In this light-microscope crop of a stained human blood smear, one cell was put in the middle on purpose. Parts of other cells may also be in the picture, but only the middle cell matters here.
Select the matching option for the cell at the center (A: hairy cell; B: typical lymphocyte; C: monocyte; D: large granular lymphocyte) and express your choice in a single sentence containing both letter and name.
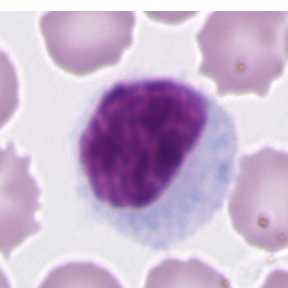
Option A is correct, naming the cell in the middle as a hairy cell.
